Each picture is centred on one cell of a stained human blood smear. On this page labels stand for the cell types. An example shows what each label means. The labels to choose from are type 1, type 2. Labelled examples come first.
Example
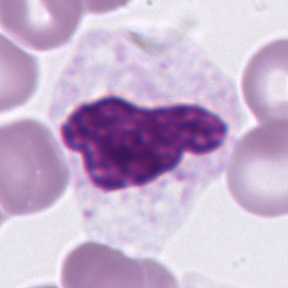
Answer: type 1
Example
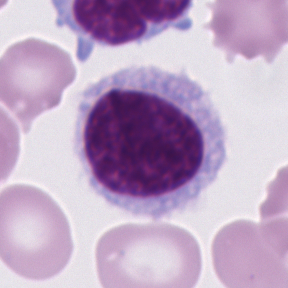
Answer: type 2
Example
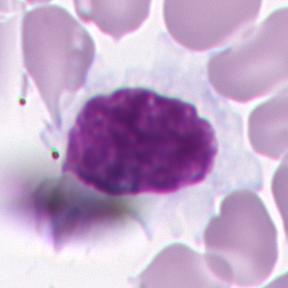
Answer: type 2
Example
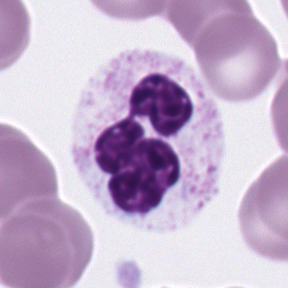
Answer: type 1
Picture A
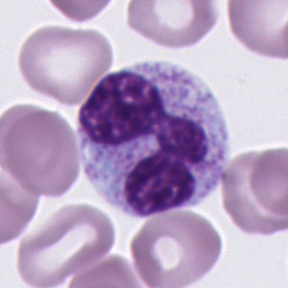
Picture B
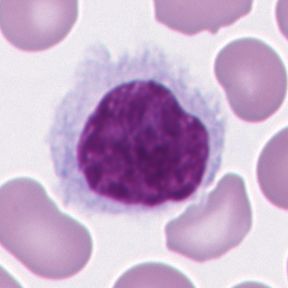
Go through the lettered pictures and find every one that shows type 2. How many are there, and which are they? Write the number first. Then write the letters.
1: B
